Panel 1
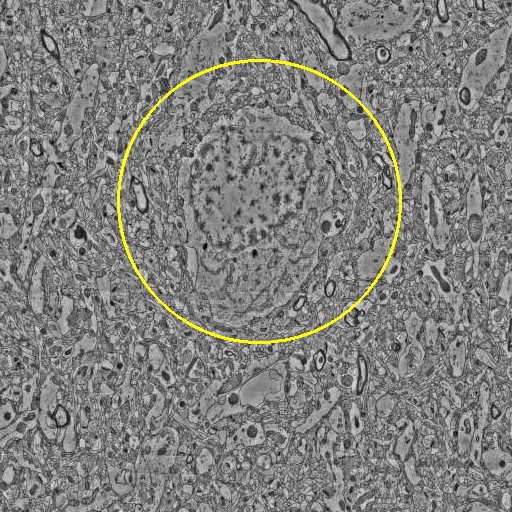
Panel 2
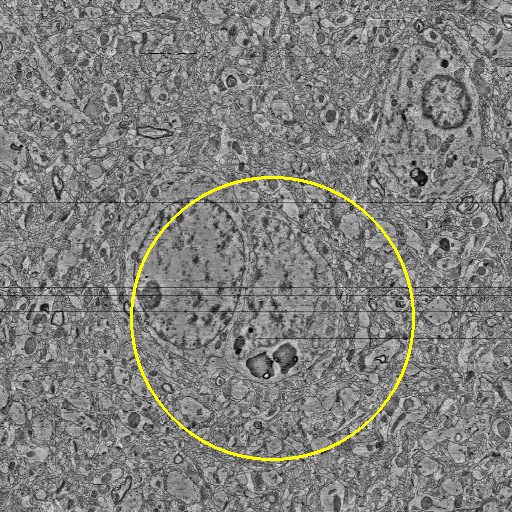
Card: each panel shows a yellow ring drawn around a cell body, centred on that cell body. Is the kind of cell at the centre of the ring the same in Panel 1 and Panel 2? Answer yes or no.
yes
